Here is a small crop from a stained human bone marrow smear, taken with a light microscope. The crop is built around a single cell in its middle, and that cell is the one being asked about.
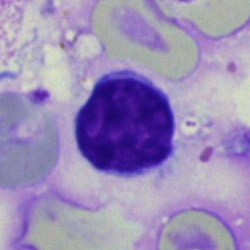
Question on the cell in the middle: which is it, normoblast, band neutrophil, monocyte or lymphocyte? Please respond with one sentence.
The central cell in this smear crop is a lymphocyte.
